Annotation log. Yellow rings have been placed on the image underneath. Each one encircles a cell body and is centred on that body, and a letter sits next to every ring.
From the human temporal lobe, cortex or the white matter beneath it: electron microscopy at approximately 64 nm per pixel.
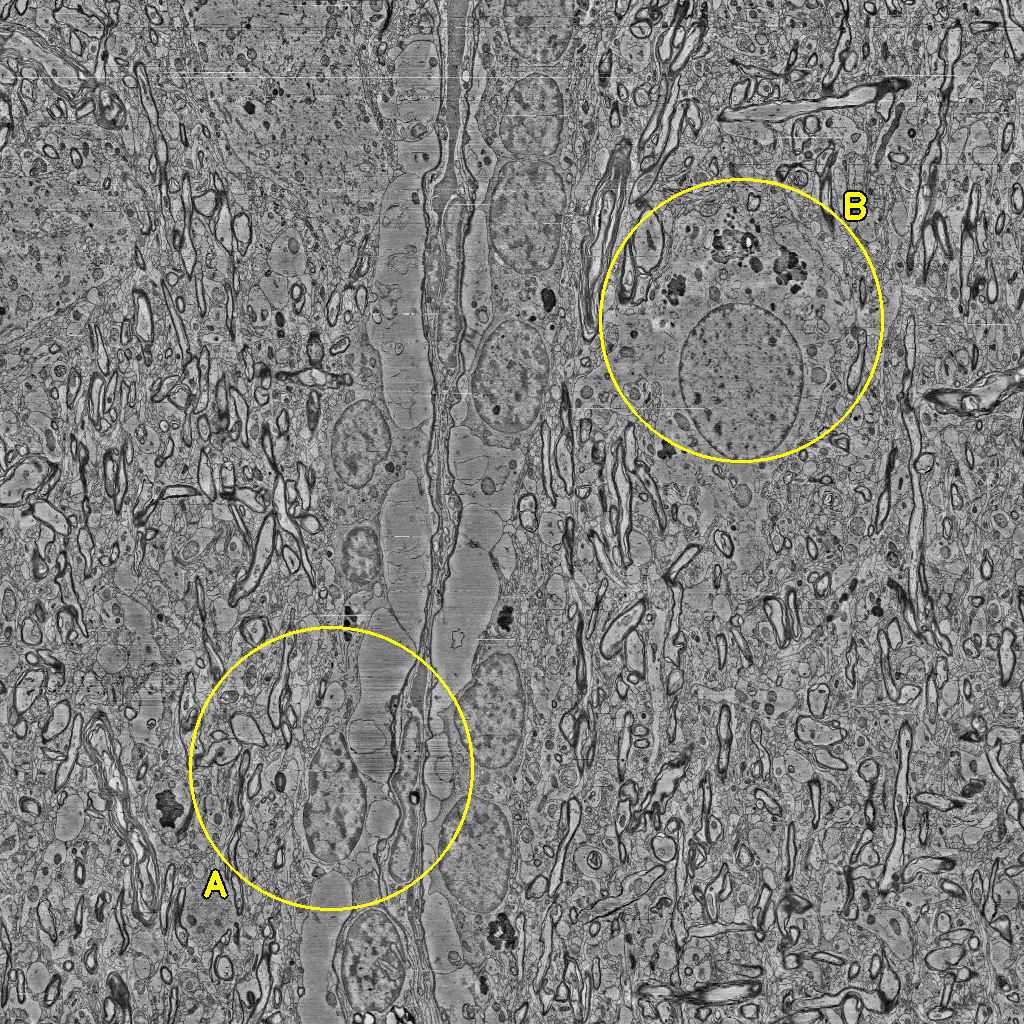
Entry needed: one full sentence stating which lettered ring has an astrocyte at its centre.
The cell asked for sits at the centre of Ring B in the picture.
